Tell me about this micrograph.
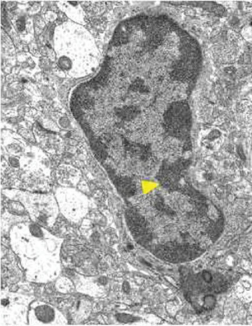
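The nucleus is elongated and somewhat irregular, bounded by a nuclear envelope and surrounded by only a thin rim of cytoplasm. Dense, dark clumps of chromatin line the inner surface of the nuclear envelope and form patches throughout the paler nucleoplasm. Around the cell lies neuropil made of many small membrane-bound profiles, some pale and vacuole-like, with scattered mitochondria.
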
